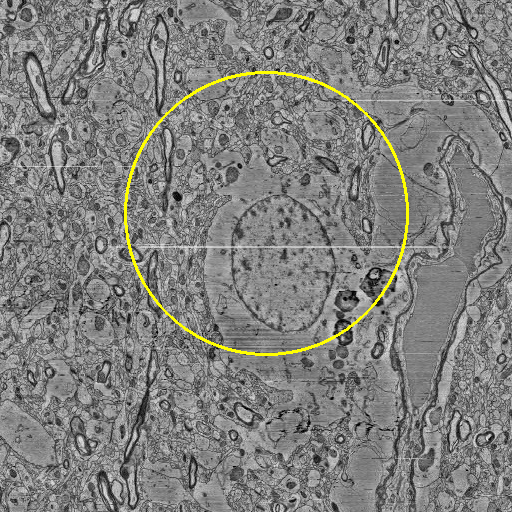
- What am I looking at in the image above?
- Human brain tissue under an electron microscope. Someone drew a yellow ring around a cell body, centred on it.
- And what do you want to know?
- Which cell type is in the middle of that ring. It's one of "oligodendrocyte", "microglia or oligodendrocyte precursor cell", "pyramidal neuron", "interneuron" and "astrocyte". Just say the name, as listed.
astrocyte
